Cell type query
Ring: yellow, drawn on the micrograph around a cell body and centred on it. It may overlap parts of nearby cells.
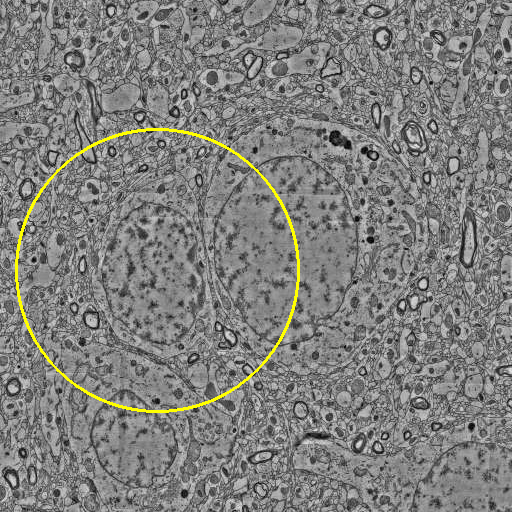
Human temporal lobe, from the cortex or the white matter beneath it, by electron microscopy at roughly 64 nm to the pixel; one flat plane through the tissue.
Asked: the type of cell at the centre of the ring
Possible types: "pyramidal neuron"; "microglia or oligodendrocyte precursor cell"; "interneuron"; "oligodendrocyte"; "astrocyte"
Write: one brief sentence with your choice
The ring marks an interneuron.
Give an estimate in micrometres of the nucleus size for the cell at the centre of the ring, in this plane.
Approximately 9 by 7 micrometers in this plane.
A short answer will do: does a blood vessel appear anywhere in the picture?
No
